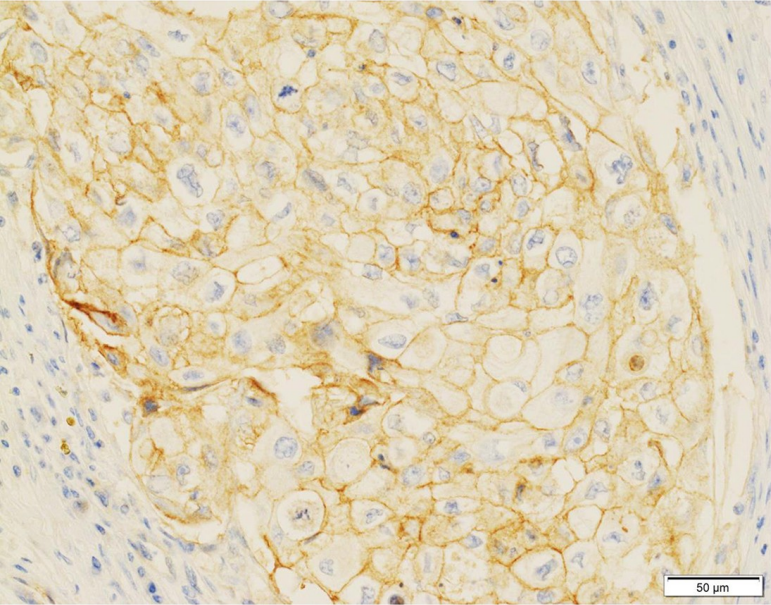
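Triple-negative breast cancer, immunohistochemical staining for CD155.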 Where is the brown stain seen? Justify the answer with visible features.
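The brown stain outlines the borders of individual cells in a continuous rim. Nuclei are largely unstained and blue. The brown lines form a network around polygonal cells. So: membranous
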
